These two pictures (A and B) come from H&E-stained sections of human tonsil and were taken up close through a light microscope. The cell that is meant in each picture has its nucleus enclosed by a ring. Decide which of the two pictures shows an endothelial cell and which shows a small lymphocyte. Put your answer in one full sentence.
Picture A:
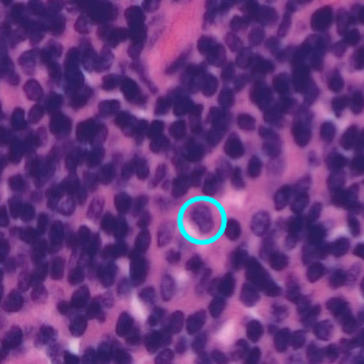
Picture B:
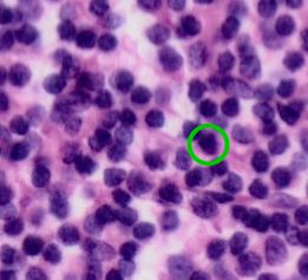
Picture A shows an endothelial cell and picture B shows a small lymphocyte.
